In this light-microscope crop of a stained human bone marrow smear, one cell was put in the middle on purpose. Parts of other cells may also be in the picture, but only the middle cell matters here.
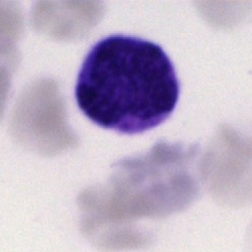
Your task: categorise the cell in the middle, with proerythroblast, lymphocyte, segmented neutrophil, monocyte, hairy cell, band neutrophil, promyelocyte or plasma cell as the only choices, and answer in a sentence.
In the central position of this crop, the cell is a lymphocyte.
